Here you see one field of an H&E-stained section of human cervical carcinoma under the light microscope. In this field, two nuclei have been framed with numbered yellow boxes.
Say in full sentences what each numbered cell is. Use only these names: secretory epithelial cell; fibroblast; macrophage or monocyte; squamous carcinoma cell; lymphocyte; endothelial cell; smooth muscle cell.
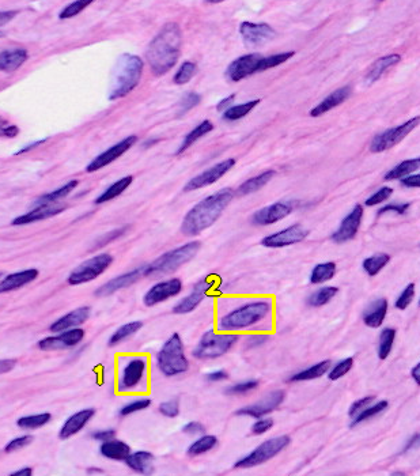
Cell 1 is a lymphocyte and cell 2 is an endothelial cell.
